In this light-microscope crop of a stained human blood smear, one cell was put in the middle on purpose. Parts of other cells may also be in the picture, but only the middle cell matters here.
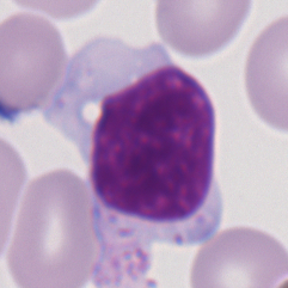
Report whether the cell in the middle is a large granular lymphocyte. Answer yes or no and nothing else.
yes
